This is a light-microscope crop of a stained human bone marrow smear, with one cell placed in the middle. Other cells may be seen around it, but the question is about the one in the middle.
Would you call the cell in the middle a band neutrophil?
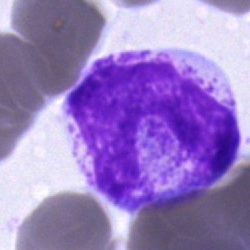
yes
